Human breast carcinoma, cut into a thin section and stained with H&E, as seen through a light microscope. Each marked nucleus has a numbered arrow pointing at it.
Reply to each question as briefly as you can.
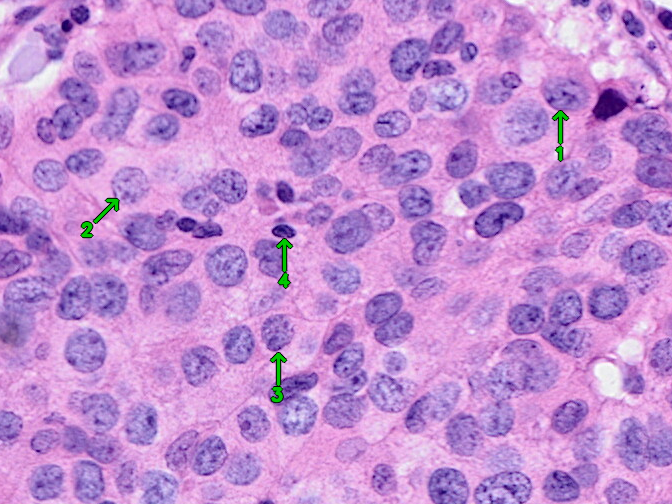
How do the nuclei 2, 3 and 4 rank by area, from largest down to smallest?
2, 3, 4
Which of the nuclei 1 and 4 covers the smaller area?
4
